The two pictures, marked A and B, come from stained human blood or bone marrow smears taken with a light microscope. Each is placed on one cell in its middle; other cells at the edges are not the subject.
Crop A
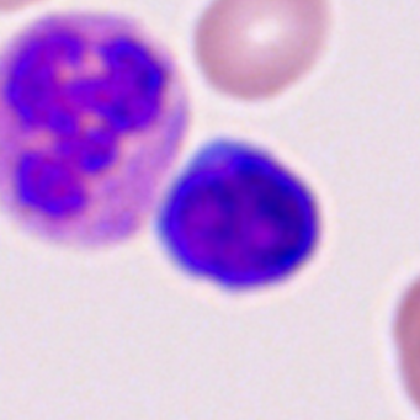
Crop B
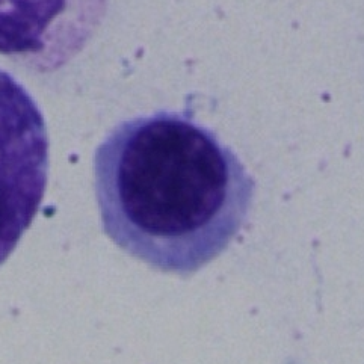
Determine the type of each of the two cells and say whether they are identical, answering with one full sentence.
No, crop A displays a lymphocyte, and crop B displays a normoblast.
